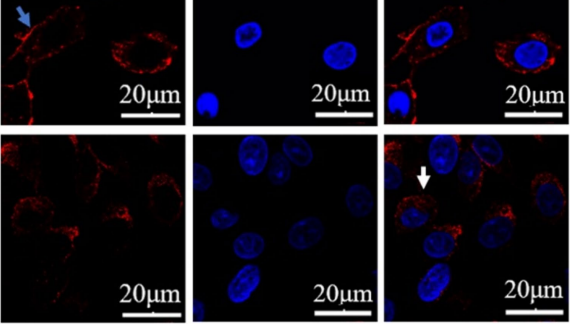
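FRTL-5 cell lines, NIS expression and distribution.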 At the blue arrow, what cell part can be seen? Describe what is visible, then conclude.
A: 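The blue arrow points at a red line tracing the outer border of a cell. The red line lies at the cell edge, well away from the blue nucleus.
Answer: cytomembrane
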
